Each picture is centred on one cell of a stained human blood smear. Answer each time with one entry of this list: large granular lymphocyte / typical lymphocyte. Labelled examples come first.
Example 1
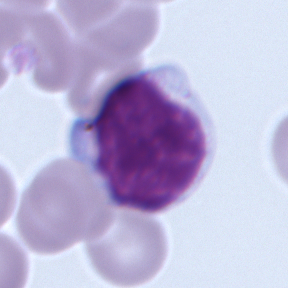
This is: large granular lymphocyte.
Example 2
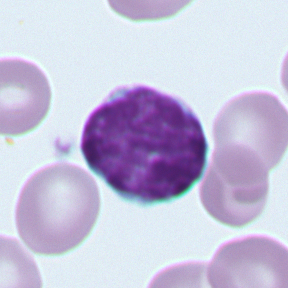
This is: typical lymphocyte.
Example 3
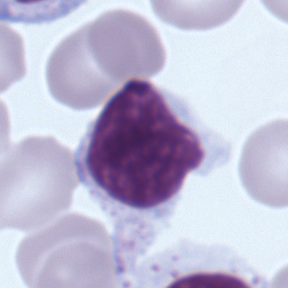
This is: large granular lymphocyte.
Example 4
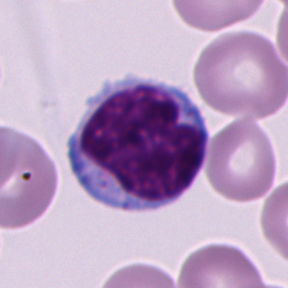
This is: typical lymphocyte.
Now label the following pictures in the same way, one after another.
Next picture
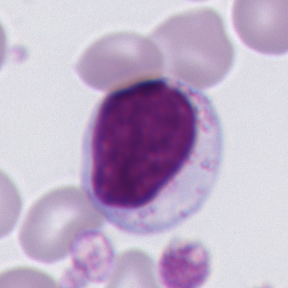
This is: large granular lymphocyte.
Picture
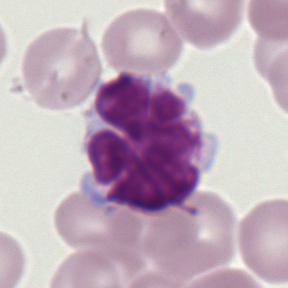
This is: large granular lymphocyte.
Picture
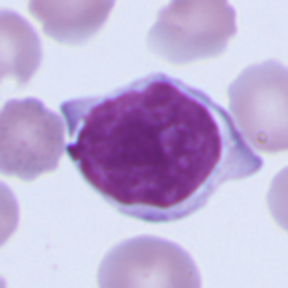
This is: typical lymphocyte.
